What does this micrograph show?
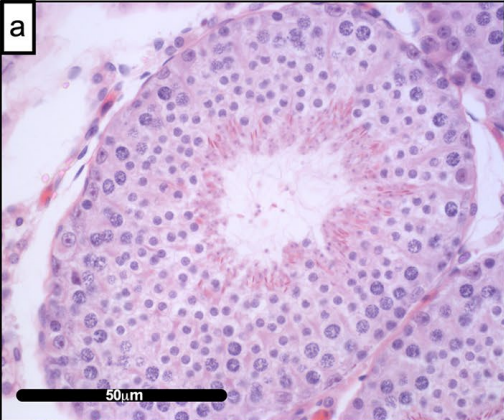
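A cross-section of a normal seminiferous tubule, with many layers of round germ cells stacked from the thin basement membrane toward a small central lumen. The cells have round purple nuclei with speckled chromatin, and pink elongated sperm tails radiate into the lumen. Flat cells surround the tubule wall on the outside.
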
